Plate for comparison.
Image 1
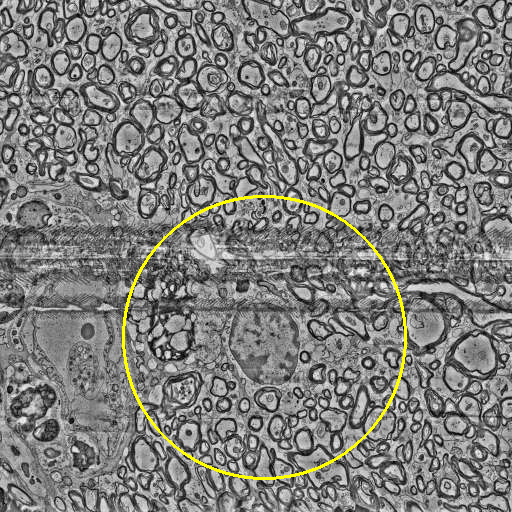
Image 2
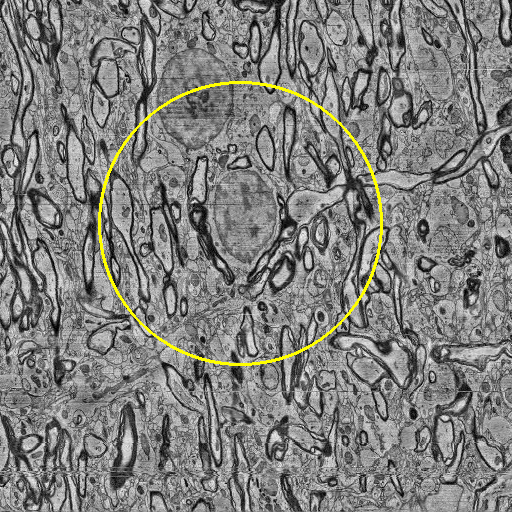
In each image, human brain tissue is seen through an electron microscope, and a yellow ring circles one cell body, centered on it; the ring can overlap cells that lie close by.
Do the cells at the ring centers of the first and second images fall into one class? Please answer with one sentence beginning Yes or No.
No, the first and second images show two classes of cell at the ring centers.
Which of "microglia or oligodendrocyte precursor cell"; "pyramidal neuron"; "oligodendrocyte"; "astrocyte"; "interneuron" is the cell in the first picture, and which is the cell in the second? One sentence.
The two differ: the first cell is a microglial cell or oligodendrocyte precursor cell and the second is an oligodendrocyte.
